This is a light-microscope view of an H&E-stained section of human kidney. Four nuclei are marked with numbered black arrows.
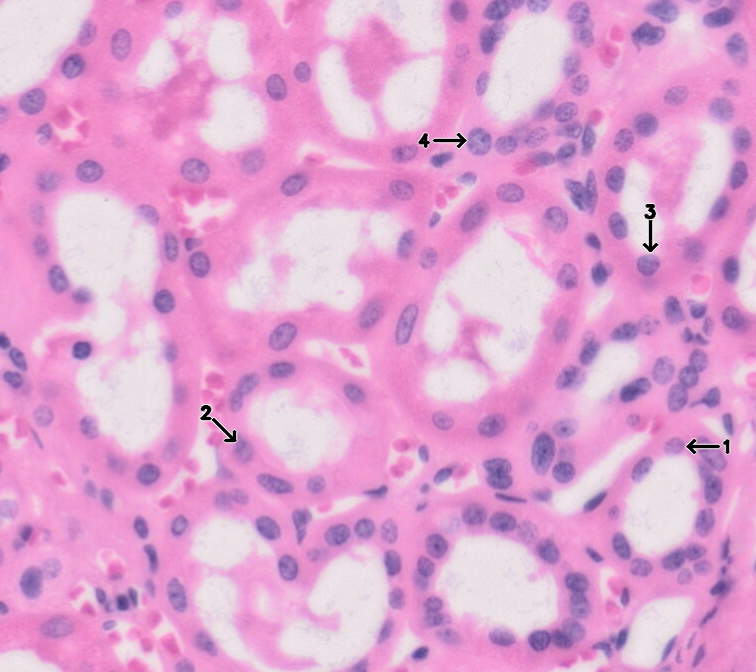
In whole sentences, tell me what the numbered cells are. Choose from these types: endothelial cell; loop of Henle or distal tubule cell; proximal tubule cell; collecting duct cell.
Cells 1, 2 and 4 are collecting duct cells. Cell 3 is a loop of Henle or distal tubule cell.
